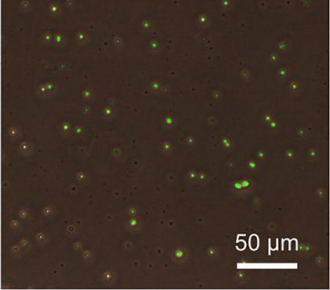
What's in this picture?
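Many small, round, separate particles are spread evenly over the field. Most of them carry a bright green dot that coincides with a refractile particle seen in bright field, and a few form touching pairs.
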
